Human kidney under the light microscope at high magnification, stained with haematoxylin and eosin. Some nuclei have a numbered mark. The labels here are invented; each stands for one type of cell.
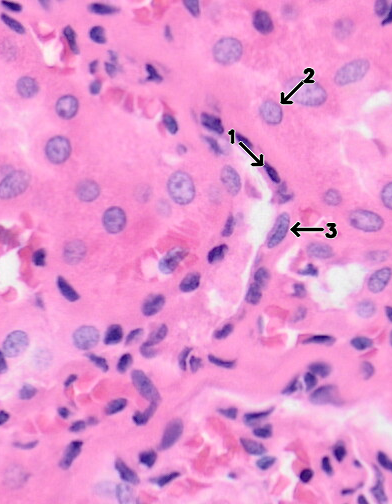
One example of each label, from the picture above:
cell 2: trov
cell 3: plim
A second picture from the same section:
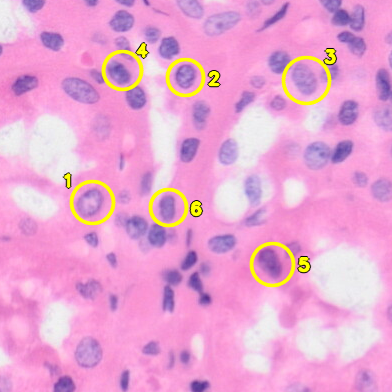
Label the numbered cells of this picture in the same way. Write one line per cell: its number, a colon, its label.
1: trov
2: plim
3: plim
4: plim
5: trov
6: plim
